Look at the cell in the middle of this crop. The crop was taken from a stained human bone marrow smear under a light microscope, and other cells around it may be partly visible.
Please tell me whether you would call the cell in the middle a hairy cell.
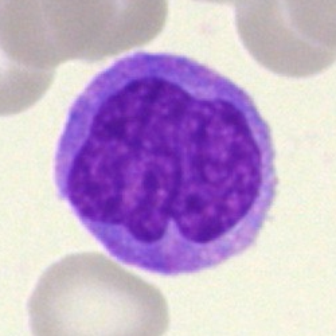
no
